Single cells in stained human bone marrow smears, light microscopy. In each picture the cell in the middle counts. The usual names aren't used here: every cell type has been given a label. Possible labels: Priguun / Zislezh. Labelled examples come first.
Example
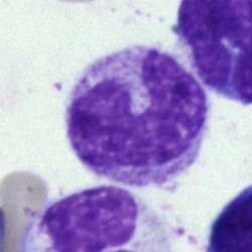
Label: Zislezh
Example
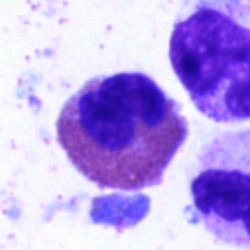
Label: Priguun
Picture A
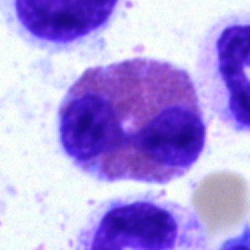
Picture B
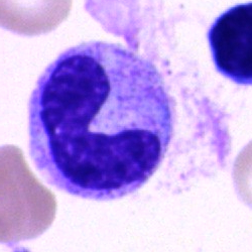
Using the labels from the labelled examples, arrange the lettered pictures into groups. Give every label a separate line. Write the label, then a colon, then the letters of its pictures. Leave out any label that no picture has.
Priguun: A
Zislezh: B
